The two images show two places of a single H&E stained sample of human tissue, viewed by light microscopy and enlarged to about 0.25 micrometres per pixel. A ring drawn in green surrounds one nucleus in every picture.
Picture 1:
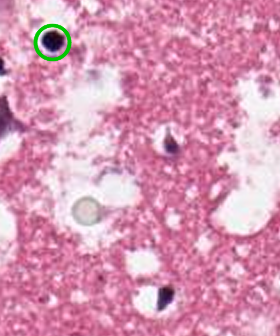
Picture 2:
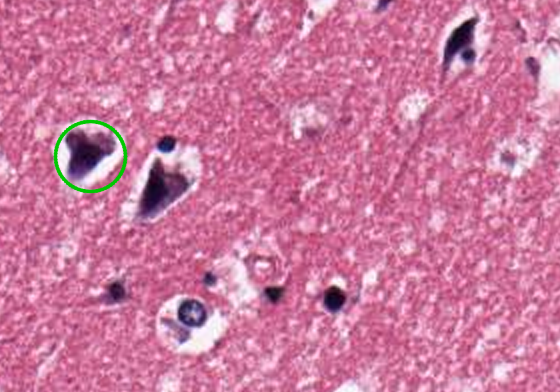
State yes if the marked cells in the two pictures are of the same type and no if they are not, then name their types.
No, the first is an oligodendrocyte and the second a neuron.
